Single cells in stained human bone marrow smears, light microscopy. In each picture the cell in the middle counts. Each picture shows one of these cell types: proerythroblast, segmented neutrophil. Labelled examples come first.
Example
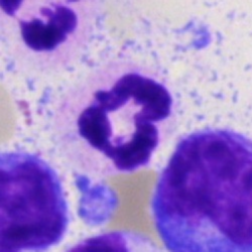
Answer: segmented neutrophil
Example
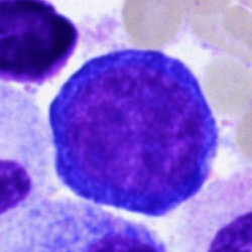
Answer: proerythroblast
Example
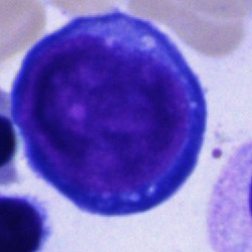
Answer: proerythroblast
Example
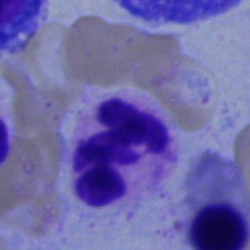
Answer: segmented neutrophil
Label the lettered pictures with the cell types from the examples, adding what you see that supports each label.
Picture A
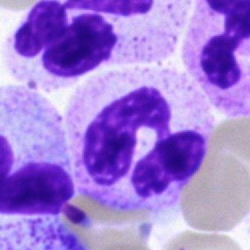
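segmented neutrophil: Fine purple granules are scattered through the cytoplasm.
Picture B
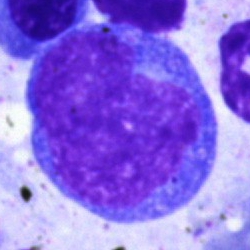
proerythroblast: The chromatin is finely stippled rather than coarsely clumped.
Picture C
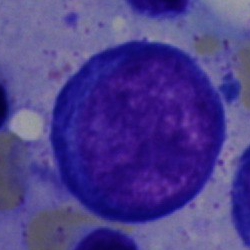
proerythroblast: The chromatin is fine and evenly spread rather than clumped.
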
